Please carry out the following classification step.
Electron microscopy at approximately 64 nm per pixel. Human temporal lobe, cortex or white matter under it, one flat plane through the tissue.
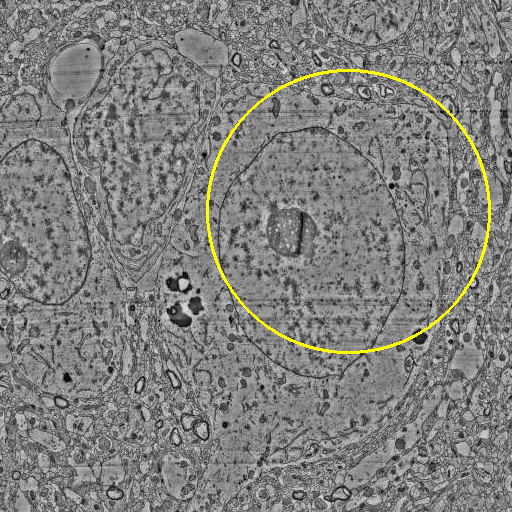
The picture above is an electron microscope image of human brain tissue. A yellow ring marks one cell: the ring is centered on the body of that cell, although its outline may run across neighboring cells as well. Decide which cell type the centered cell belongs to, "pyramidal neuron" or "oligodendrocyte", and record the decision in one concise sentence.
The cell centered in the yellow ring is a pyramidal neuron.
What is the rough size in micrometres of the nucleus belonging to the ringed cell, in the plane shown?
Approximately 17 x 12 micrometres in this plane.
